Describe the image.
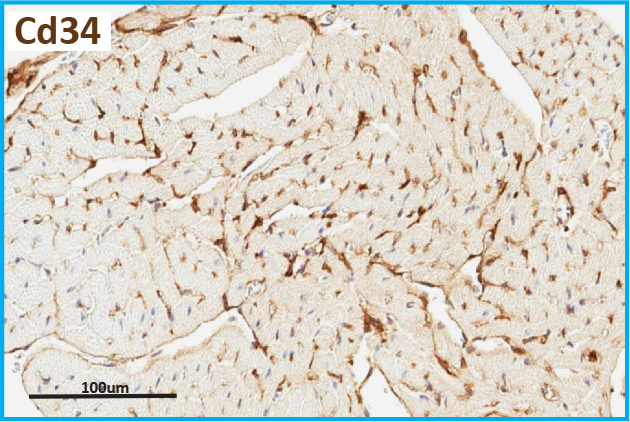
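Heart muscle in section, the muscle fibres pale tan and closely packed. Thin brown-stained strands form a fine branching network in the narrow spaces between the fibres. Small nuclei, mostly elongated, lie scattered in these spaces. A few darker brown patches are seen where strands meet. Pale clefts separate some bundles of fibres.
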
